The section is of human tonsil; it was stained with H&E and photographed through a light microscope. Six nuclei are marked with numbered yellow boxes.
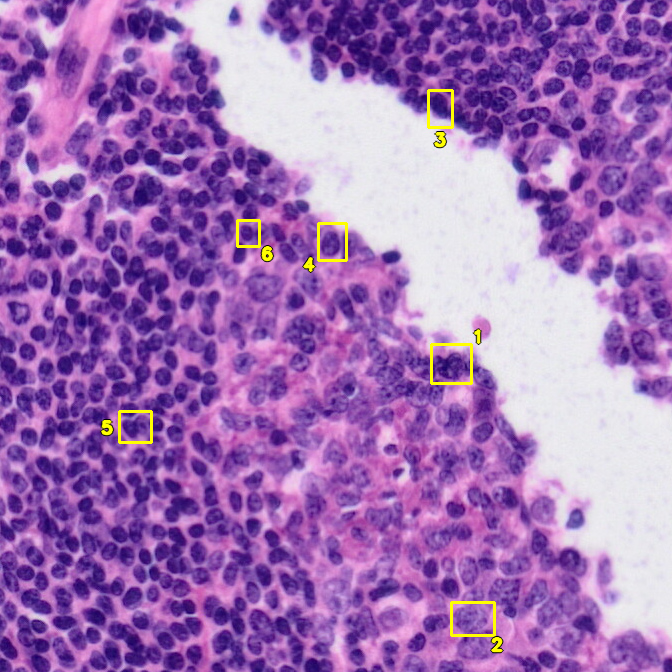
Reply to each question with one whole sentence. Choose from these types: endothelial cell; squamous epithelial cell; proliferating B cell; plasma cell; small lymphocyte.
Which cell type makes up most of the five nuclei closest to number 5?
Small lymphocytes account for more than half of the five nuclei nearest to number 5.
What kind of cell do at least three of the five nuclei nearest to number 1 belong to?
Proliferating B cells account for more than half of the five nuclei nearest to number 1.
